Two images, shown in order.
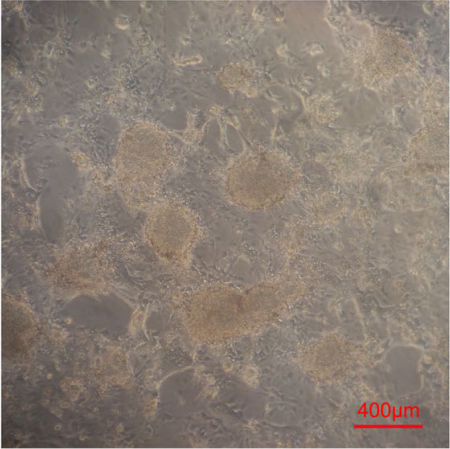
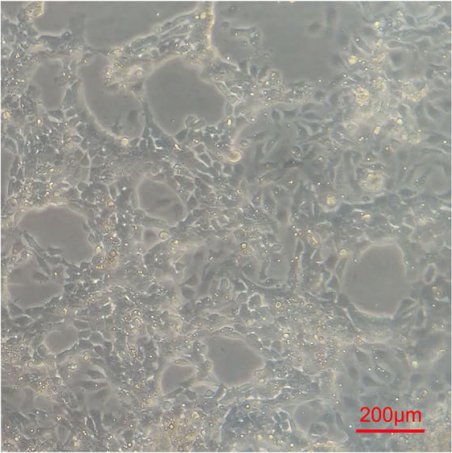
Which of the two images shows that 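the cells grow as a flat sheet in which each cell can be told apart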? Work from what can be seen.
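First image: dense, round, raised colonies in which single cells cannot be told apart. Second image: a flat single sheet of cells with visible borders between them. The answer: the second image.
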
